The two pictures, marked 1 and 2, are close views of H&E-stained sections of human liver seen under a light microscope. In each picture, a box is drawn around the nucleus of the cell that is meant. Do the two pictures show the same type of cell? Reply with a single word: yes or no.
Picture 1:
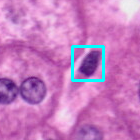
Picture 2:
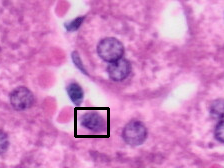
yes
